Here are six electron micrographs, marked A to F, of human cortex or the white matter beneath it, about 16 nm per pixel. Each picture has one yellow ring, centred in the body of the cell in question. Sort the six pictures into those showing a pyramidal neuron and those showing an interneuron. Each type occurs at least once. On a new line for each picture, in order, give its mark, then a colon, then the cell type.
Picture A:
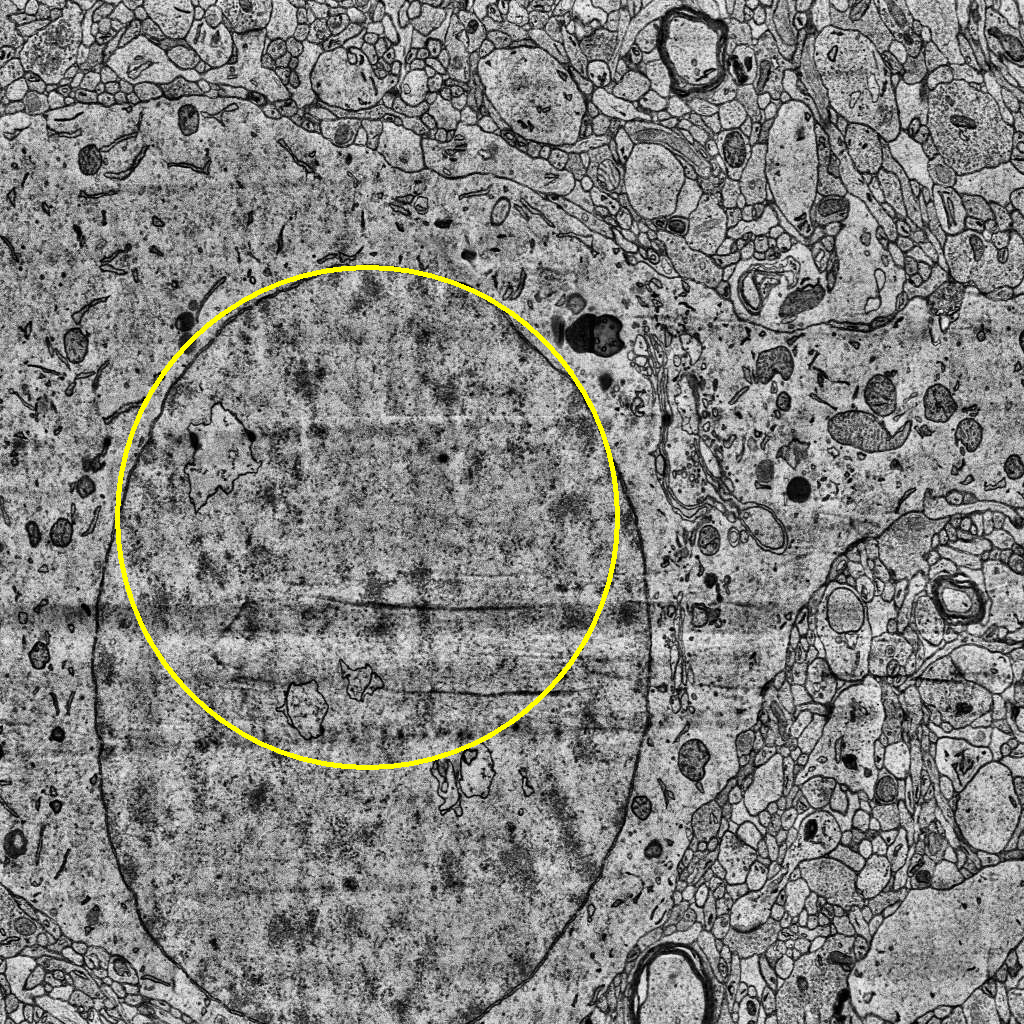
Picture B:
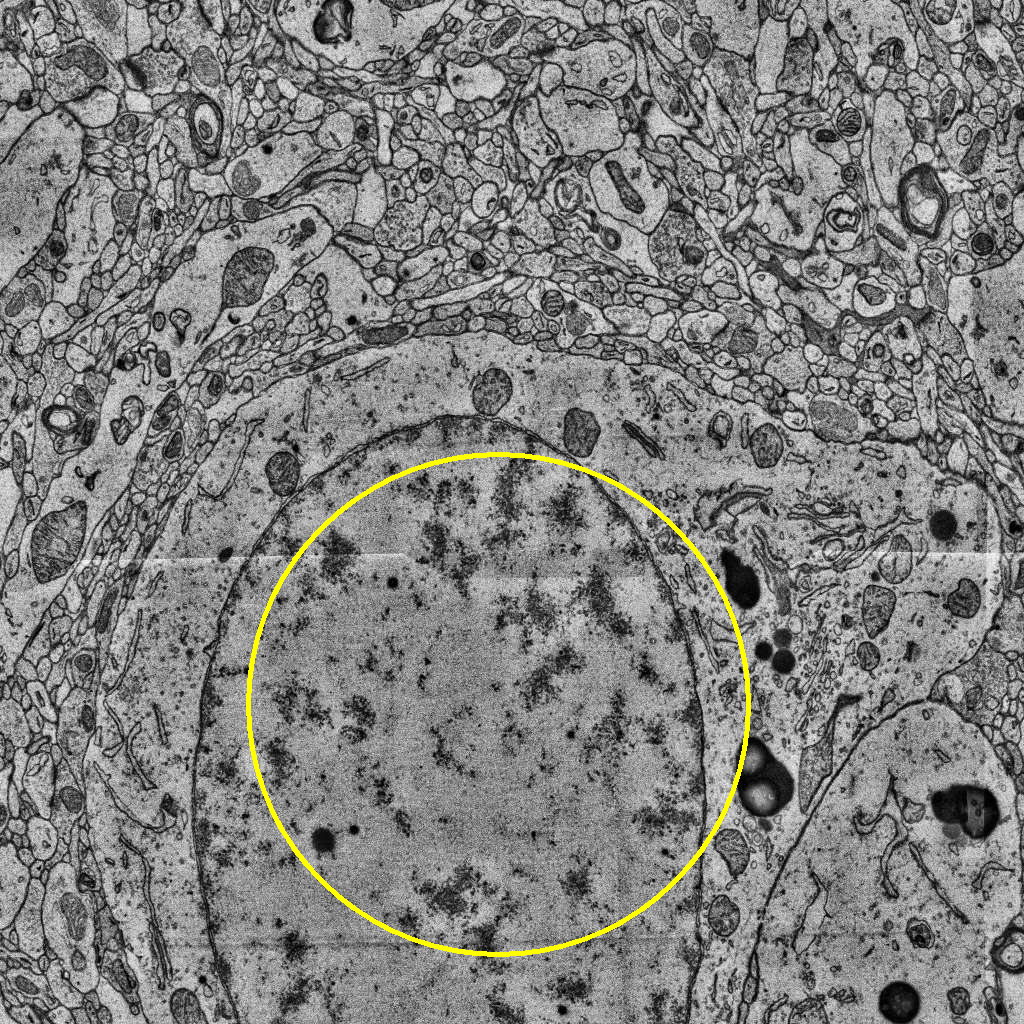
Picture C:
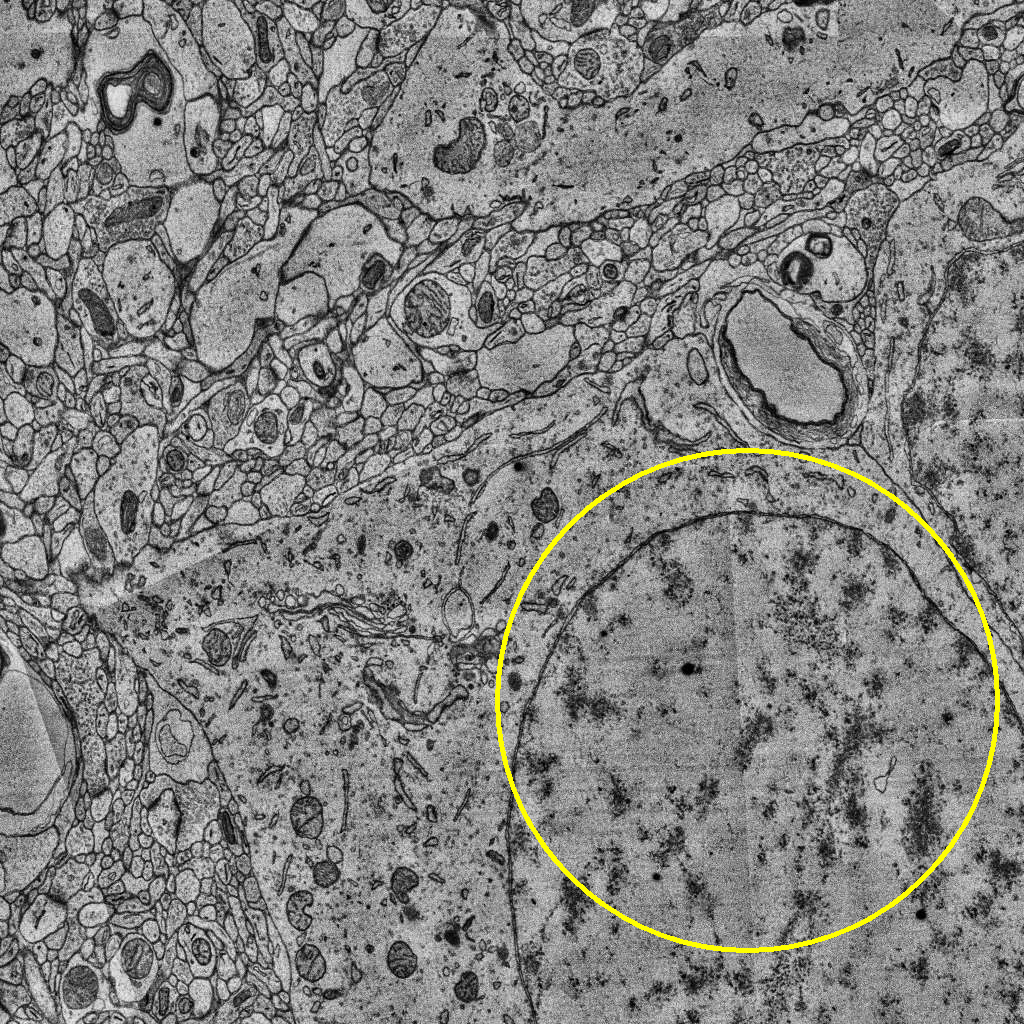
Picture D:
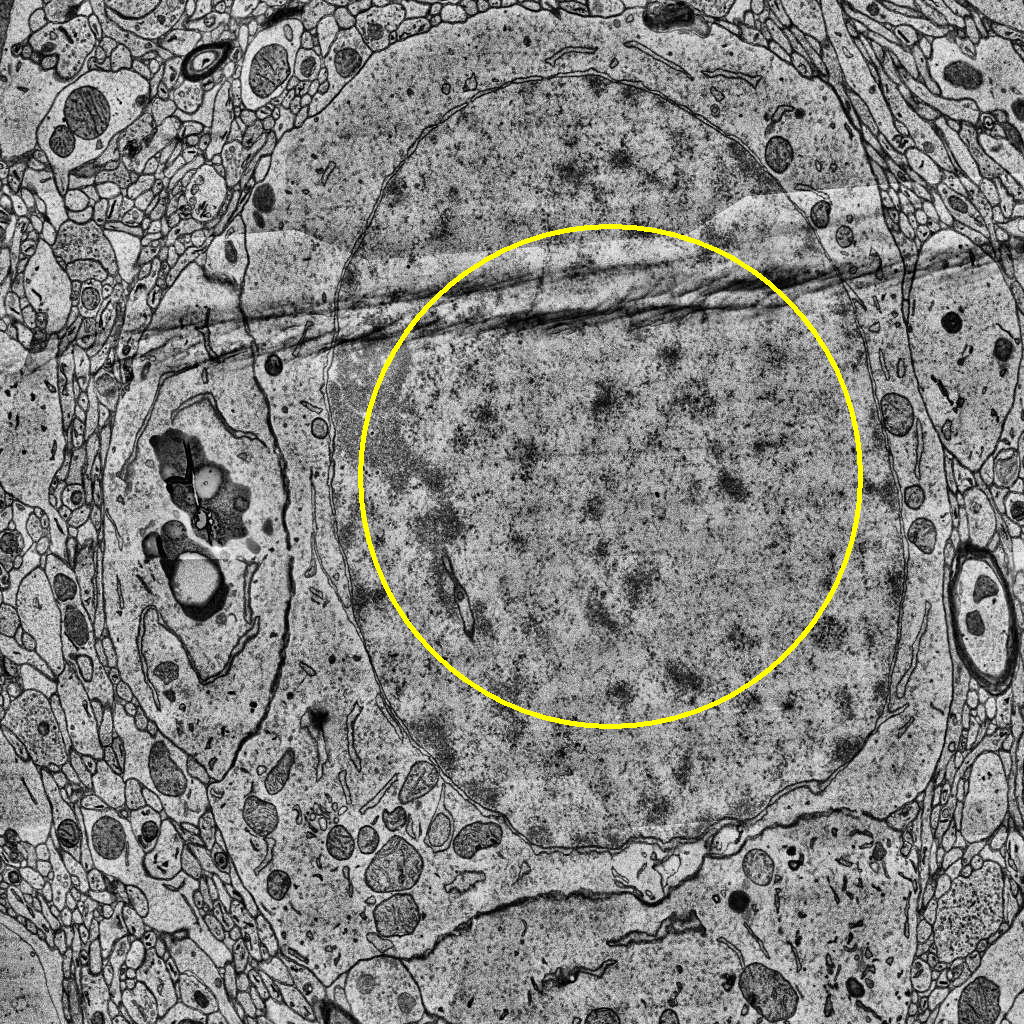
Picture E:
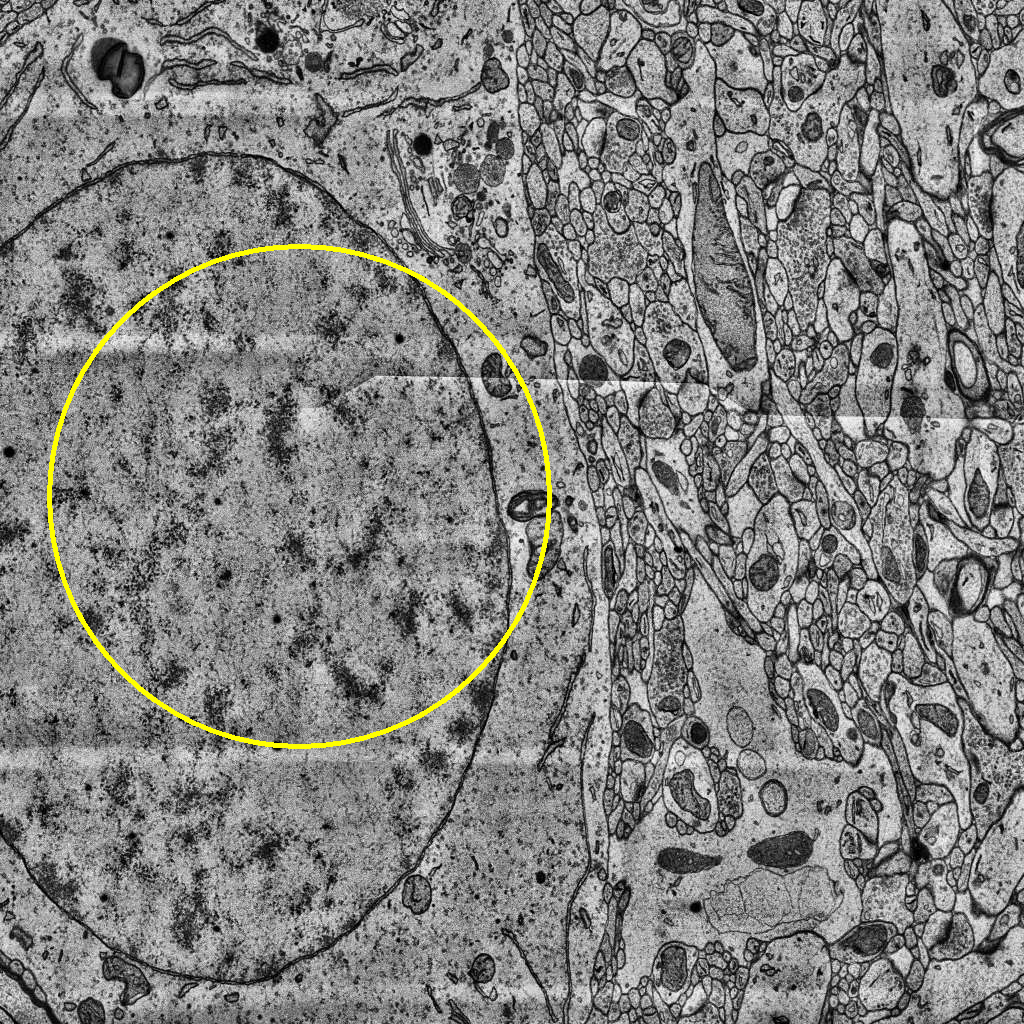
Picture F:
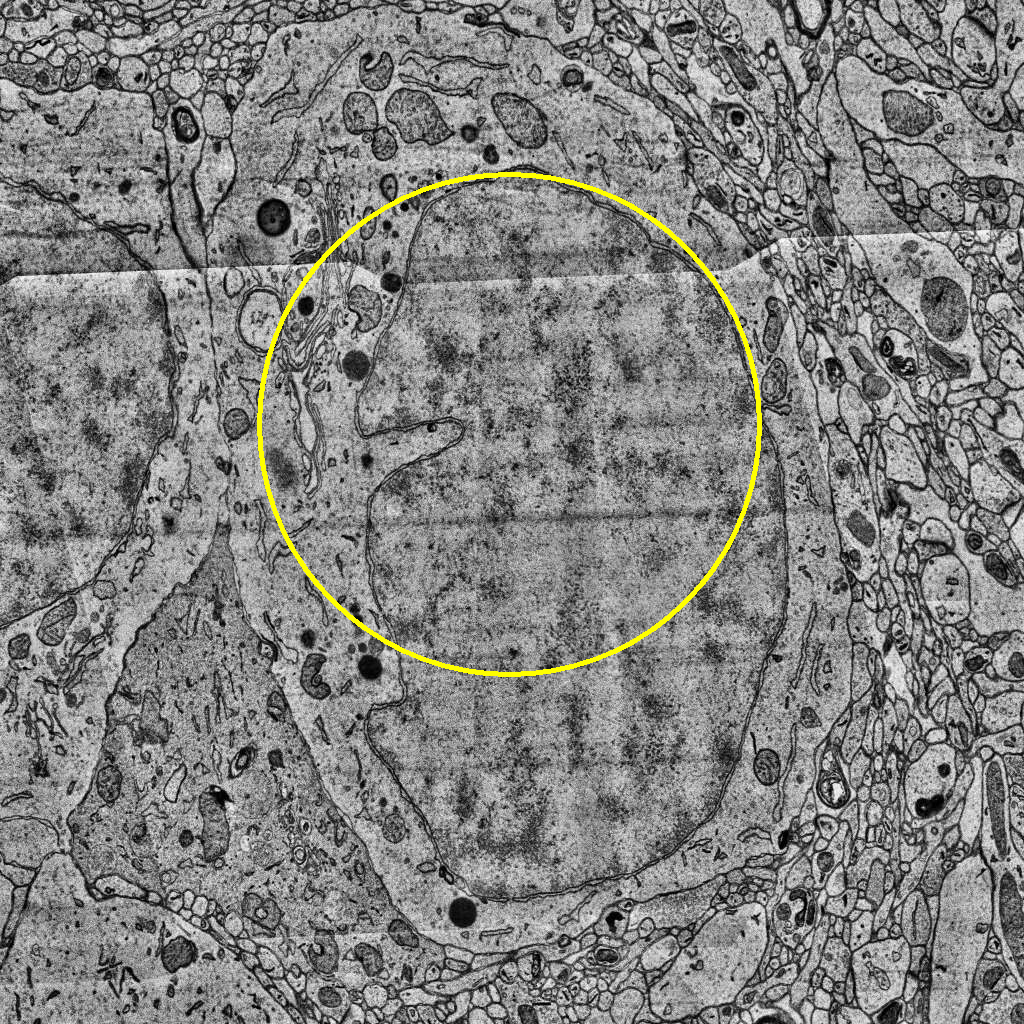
A: pyramidal neuron
B: pyramidal neuron
C: pyramidal neuron
D: interneuron
E: pyramidal neuron
F: interneuron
